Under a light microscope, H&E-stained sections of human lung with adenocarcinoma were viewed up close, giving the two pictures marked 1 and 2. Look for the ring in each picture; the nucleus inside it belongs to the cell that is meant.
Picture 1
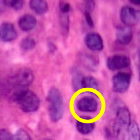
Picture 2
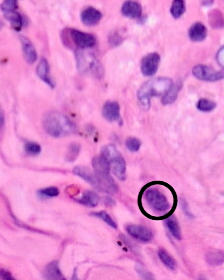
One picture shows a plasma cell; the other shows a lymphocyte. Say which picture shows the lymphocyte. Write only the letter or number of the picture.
1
